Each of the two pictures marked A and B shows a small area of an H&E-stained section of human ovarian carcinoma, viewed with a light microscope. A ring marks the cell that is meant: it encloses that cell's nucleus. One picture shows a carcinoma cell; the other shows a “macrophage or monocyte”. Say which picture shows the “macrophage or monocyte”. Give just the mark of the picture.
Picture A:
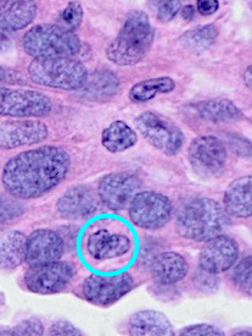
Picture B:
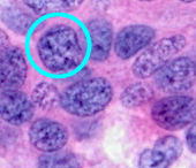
A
